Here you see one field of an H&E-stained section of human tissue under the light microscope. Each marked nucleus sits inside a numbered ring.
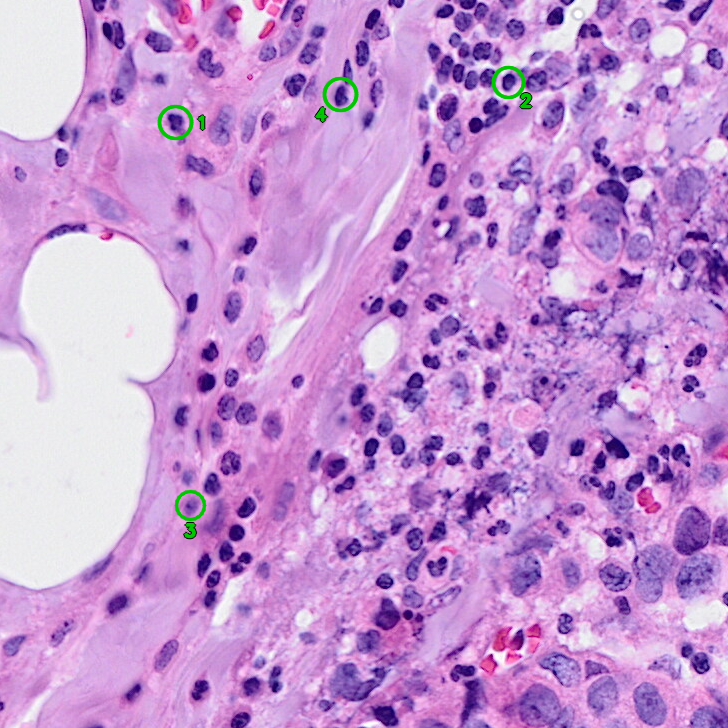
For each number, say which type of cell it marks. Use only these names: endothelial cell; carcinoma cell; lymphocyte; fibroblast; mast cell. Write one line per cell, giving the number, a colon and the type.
1: lymphocyte
2: lymphocyte
3: mast cell
4: lymphocyte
